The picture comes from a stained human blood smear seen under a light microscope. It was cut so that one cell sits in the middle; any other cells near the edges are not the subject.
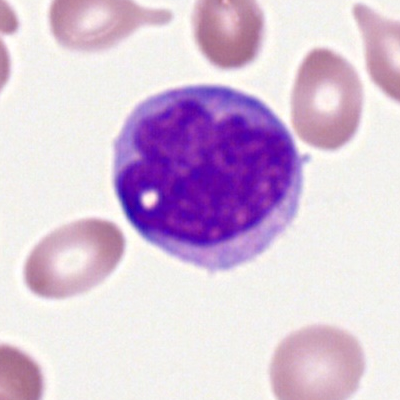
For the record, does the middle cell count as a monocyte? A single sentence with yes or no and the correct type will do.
Yes, the cell at the heart of the crop is a monocyte.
